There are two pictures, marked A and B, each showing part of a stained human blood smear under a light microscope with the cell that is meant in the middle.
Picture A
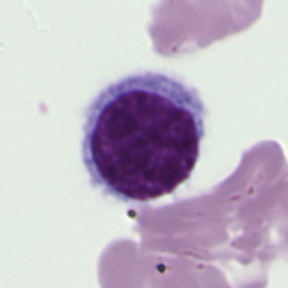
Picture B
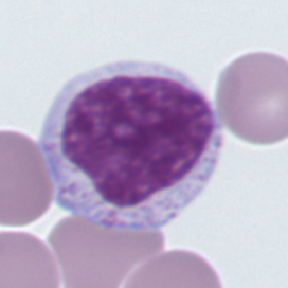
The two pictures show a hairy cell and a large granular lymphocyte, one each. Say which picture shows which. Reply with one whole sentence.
In picture A the cell is a hairy cell; in picture B, a large granular lymphocyte.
